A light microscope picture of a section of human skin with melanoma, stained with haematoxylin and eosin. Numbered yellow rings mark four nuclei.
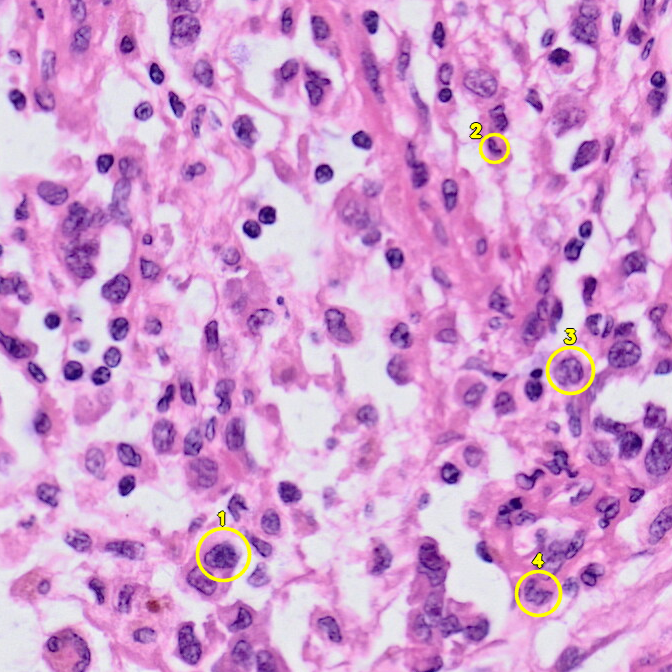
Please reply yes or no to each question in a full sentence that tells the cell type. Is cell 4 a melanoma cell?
No, sorry, the cell labelled 4 is not a melanoma cell; it is a macrophage or monocyte.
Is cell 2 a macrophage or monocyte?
Yes, that is right: the cell labelled 2 is a macrophage or monocyte.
